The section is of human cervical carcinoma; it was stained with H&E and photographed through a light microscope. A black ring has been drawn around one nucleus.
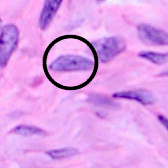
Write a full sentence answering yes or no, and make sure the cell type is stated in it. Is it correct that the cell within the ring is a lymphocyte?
No, it is as a fibroblast, not a lymphocyte, that the cell within the ring is classified.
